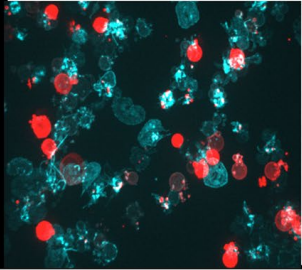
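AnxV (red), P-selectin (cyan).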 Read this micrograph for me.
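These are adherent platelets, many of them flattened and spread with cyan-outlined irregular shapes and bright cyan granular spots. Scattered among them are round bodies labelled red, some with a red rim around a paler interior, the ballooned platelets. Some spread cells also carry red label. The red round bodies lie singly or beside clusters of cyan spread cells.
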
